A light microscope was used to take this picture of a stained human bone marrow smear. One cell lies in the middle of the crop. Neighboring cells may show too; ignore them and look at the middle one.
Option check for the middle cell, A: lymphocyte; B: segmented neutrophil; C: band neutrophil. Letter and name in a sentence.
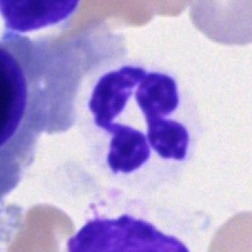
The centrally positioned cell is a segmented neutrophil, consistent with option B, which is correct.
